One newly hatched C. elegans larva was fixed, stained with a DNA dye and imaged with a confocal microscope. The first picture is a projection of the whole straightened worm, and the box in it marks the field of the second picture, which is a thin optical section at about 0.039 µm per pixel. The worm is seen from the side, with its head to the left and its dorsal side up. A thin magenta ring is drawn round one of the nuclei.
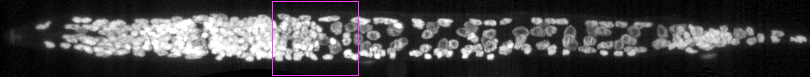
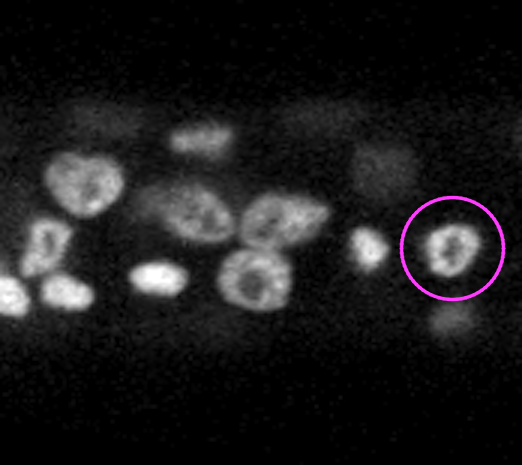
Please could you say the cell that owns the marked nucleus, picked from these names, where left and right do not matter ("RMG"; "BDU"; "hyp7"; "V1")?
V1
